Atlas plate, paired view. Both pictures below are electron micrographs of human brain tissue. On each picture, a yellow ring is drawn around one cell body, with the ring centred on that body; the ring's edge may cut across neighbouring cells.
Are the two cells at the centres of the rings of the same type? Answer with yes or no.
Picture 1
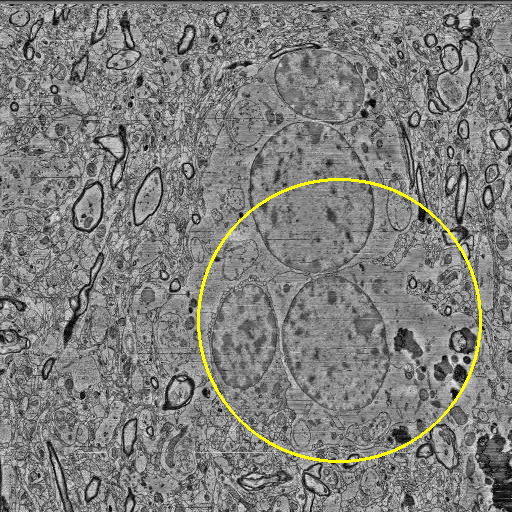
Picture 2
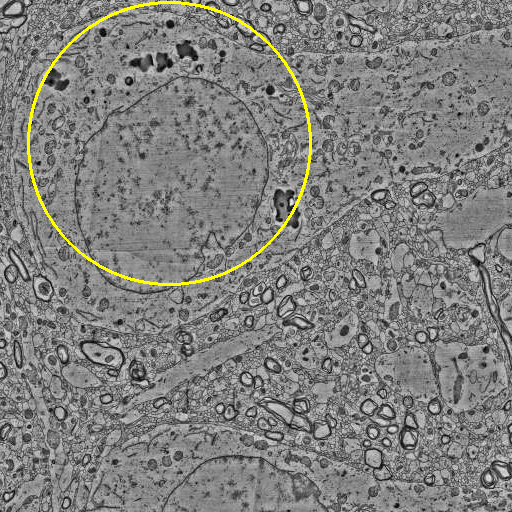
no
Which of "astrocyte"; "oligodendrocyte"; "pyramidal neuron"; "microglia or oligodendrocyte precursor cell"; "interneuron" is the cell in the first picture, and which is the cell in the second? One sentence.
The two differ: the first cell is an astrocyte and the second is a pyramidal neuron.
